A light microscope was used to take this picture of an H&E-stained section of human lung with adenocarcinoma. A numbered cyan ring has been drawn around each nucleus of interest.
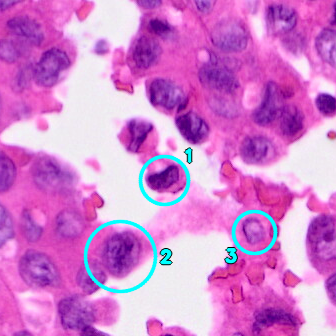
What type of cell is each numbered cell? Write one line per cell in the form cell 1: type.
cell 1: carcinoma cell
cell 2: carcinoma cell
cell 3: macrophage or monocyte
